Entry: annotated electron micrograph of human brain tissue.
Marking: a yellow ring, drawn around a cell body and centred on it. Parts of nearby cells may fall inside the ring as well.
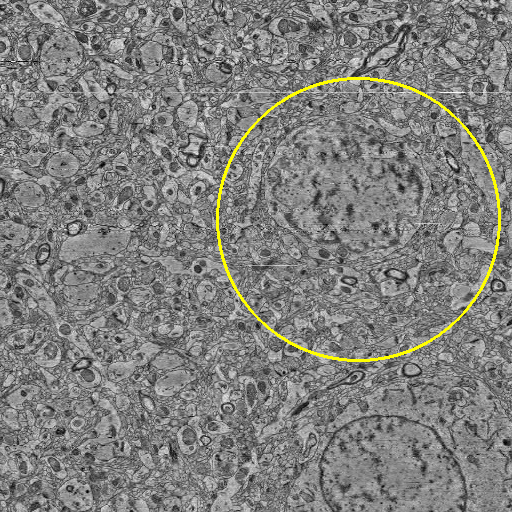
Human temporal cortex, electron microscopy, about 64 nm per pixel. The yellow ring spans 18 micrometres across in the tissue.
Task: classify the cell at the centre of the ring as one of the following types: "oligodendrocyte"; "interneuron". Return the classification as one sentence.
The marked cell is classified as an interneuron.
